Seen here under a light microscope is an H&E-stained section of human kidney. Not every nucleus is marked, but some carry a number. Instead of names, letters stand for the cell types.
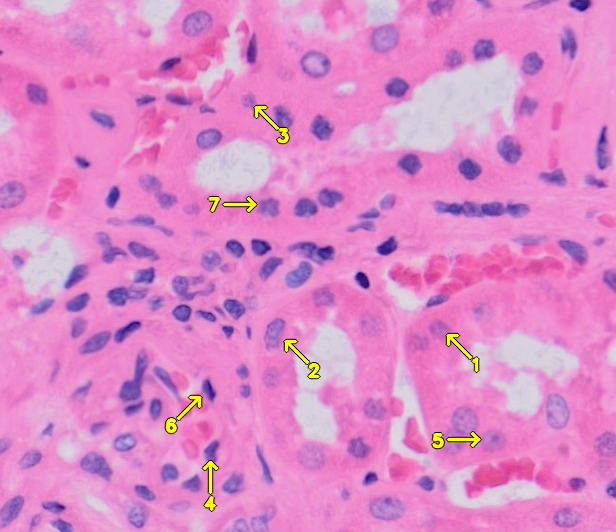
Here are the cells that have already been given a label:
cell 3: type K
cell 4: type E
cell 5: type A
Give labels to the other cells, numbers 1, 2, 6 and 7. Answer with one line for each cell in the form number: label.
1: type A
2: type A
6: type E
7: type K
